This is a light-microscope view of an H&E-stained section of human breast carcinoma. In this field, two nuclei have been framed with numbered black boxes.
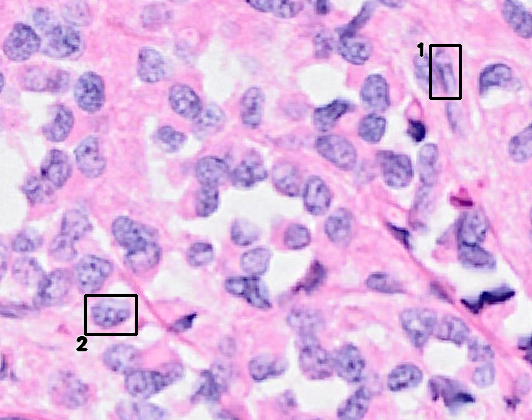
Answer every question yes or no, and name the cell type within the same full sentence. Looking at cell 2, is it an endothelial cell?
No, cell 2 should be classed as a carcinoma cell, not as an endothelial cell.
